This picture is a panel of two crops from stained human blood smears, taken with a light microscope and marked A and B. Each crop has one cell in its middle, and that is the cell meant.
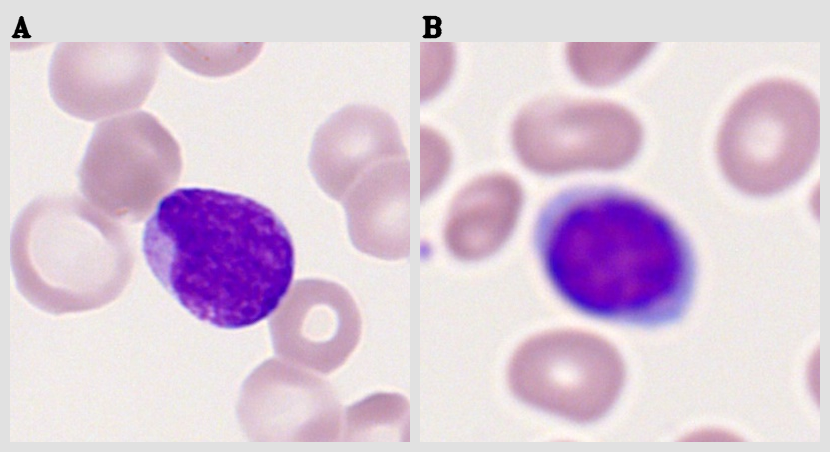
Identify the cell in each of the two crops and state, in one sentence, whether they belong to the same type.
No, in crop A the cell is a myeloblast, and in crop B it is a lymphocyte.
